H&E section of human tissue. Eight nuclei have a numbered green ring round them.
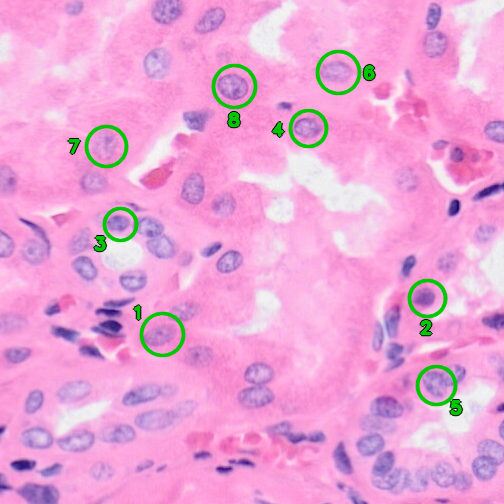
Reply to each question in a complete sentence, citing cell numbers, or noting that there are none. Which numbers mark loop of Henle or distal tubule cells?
The nucleus numbered 2 is the only one that belongs to a loop of Henle or distal tubule cell.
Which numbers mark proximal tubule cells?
When it comes to cells 1, 4, 6, 7 and 8, they are proximal tubule cells.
